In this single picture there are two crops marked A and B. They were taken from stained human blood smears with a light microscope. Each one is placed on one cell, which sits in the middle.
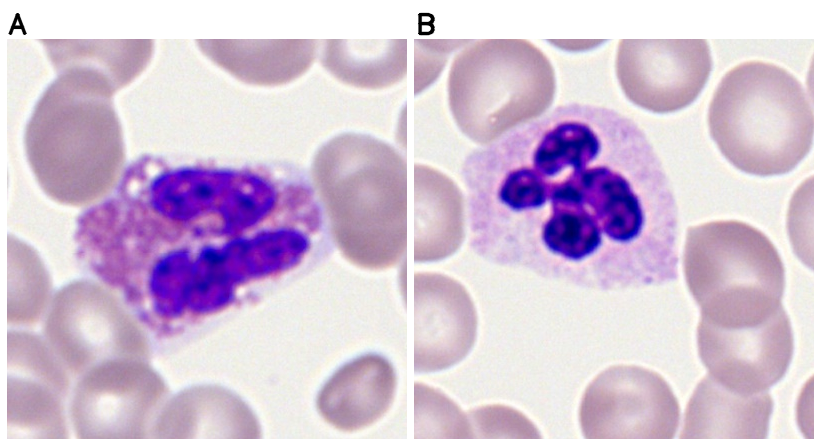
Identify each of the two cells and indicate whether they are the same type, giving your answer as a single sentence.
No, crop A displays an eosinophil and crop B displays a neutrophil.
